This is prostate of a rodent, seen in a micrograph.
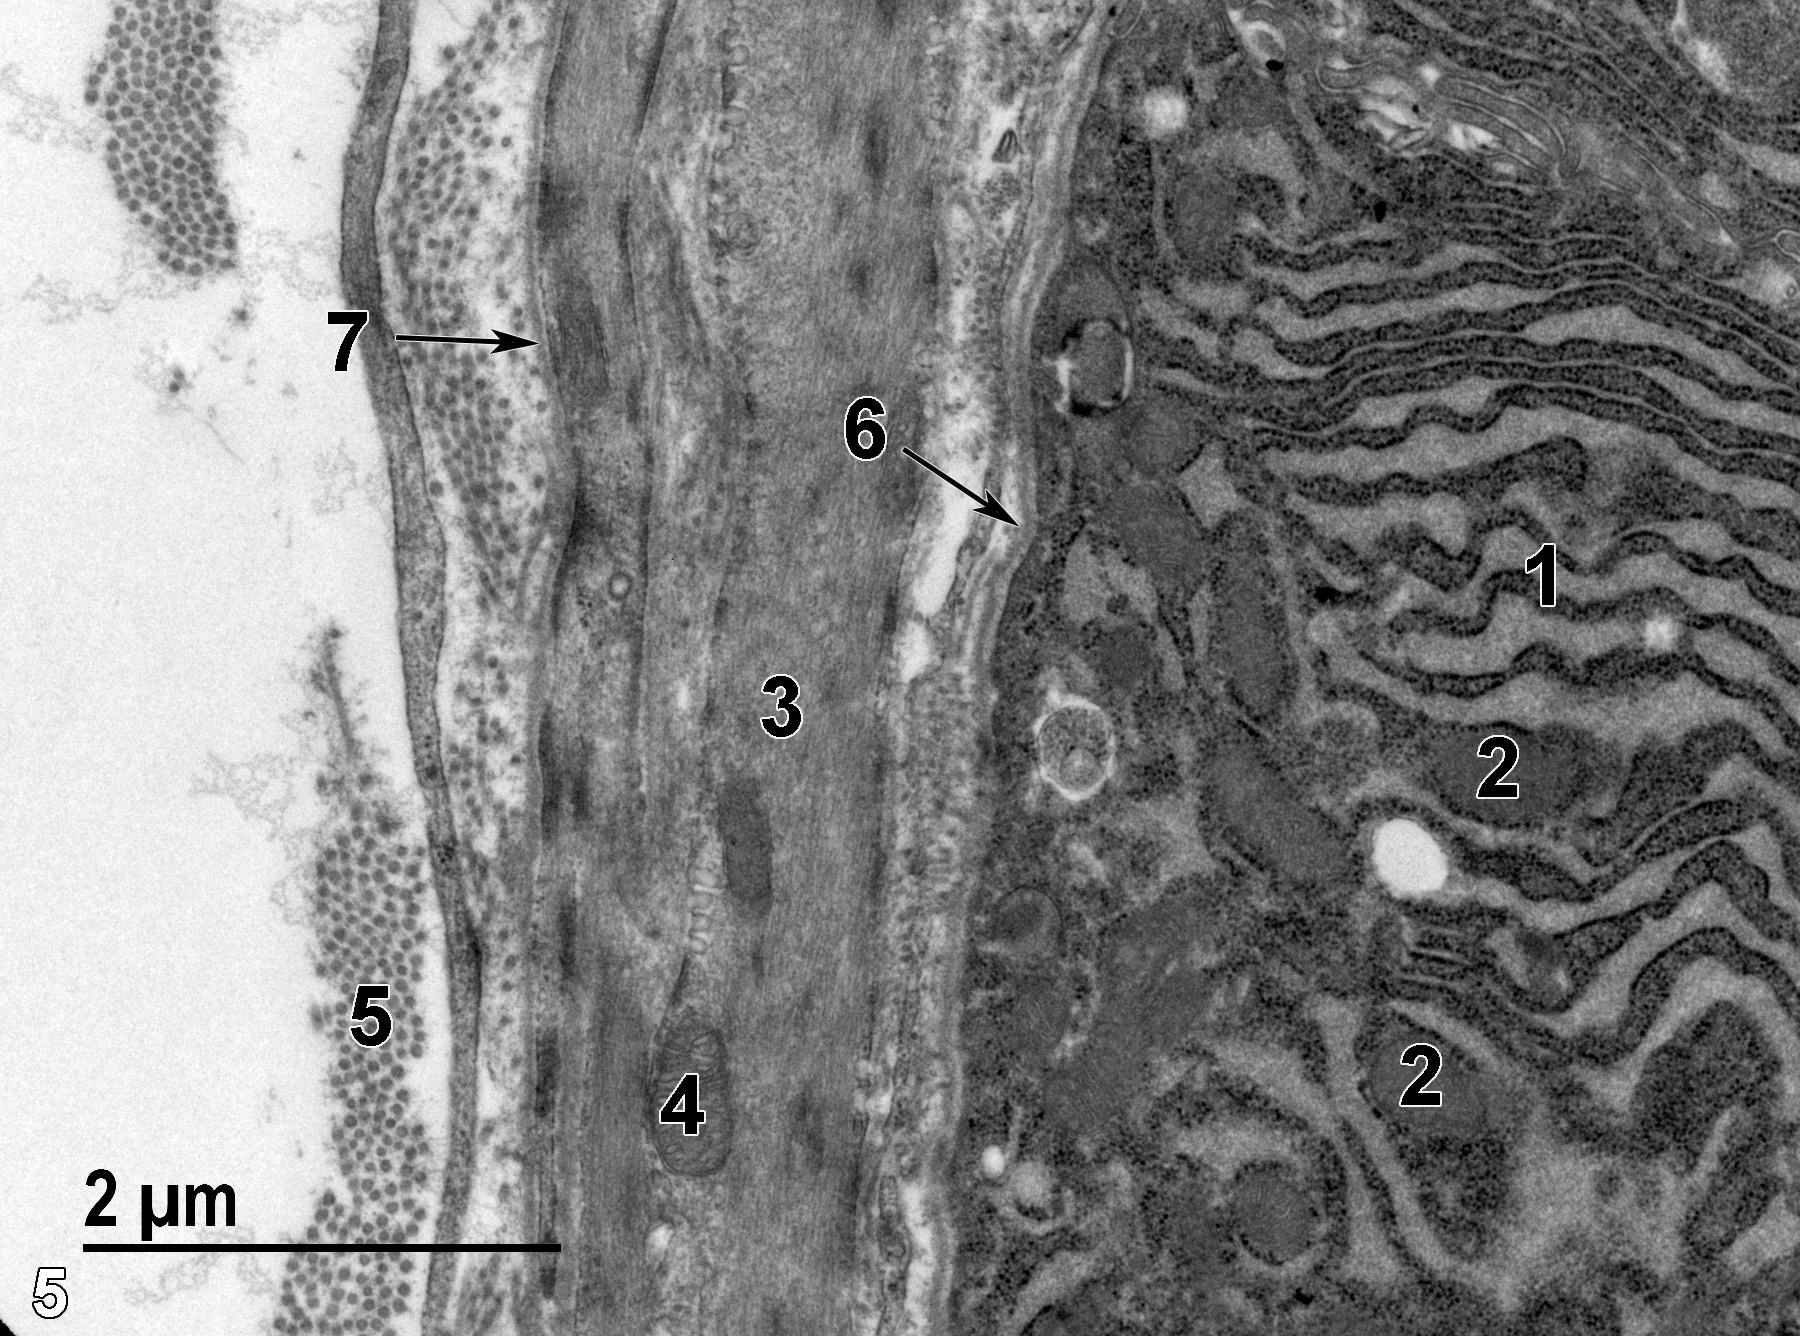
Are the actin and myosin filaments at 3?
Yes.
